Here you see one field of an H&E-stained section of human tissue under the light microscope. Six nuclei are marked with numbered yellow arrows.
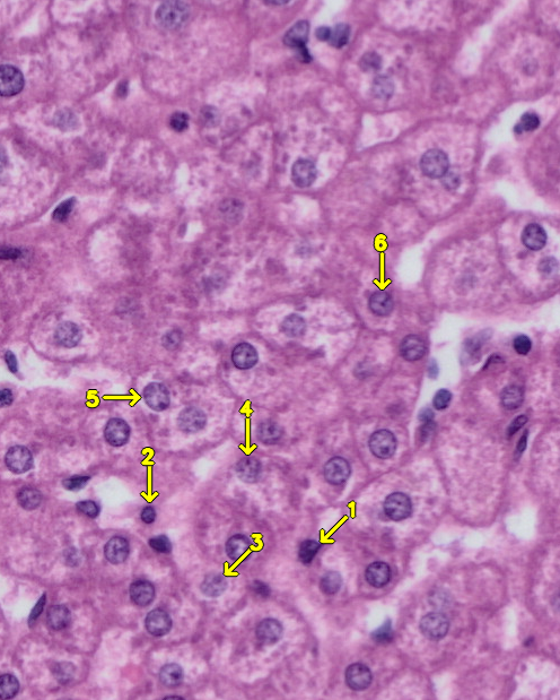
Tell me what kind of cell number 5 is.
hepatocyte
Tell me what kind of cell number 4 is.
hepatocyte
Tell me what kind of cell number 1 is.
fibroblast or stellate cell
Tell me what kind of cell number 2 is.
lymphocyte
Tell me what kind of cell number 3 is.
hepatocyte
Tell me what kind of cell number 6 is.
hepatocyte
